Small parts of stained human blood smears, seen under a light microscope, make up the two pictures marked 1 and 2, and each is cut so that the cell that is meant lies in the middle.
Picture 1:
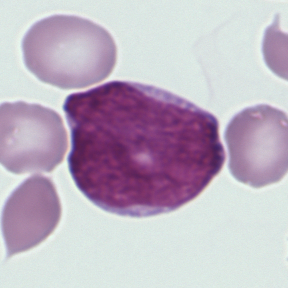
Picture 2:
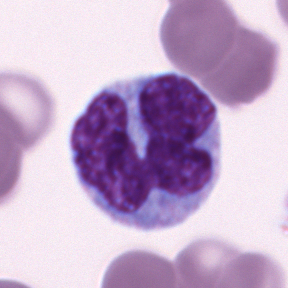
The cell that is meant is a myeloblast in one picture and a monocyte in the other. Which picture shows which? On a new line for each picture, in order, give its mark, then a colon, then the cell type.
1: myeloblast
2: monocyte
